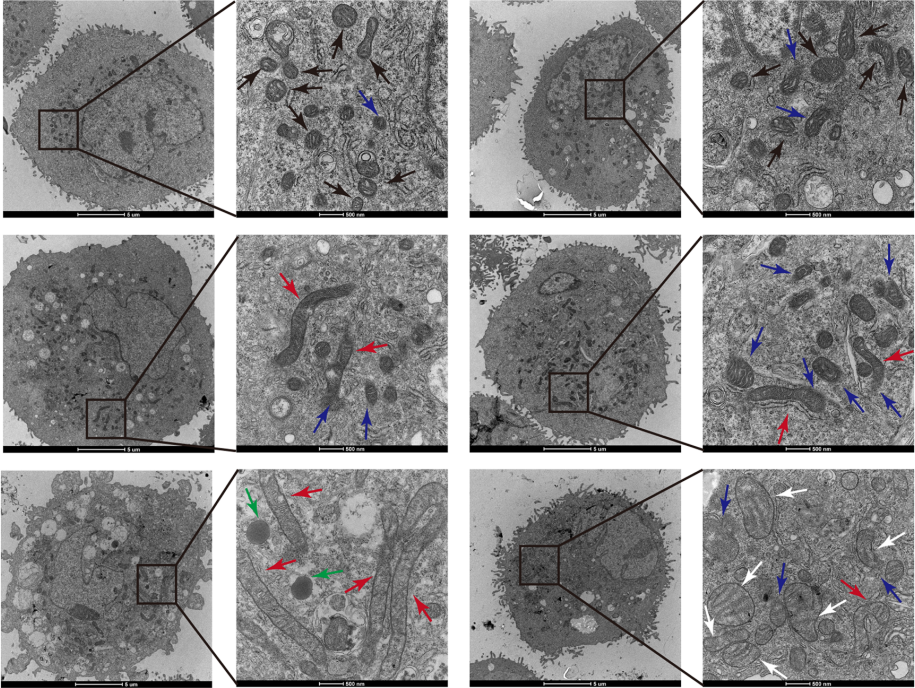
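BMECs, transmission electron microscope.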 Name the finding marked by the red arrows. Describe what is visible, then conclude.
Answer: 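Elongated mitochondria. The red arrows point at long, narrow, rod-like organelles with cristae. These organelles are several times longer than wide.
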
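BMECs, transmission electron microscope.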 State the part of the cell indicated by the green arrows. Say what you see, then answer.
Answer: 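Lipid droplets. The green arrows point at round, evenly dense grey bodies without inner membranes. These bodies lie free in the cytoplasm beside mitochondria.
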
